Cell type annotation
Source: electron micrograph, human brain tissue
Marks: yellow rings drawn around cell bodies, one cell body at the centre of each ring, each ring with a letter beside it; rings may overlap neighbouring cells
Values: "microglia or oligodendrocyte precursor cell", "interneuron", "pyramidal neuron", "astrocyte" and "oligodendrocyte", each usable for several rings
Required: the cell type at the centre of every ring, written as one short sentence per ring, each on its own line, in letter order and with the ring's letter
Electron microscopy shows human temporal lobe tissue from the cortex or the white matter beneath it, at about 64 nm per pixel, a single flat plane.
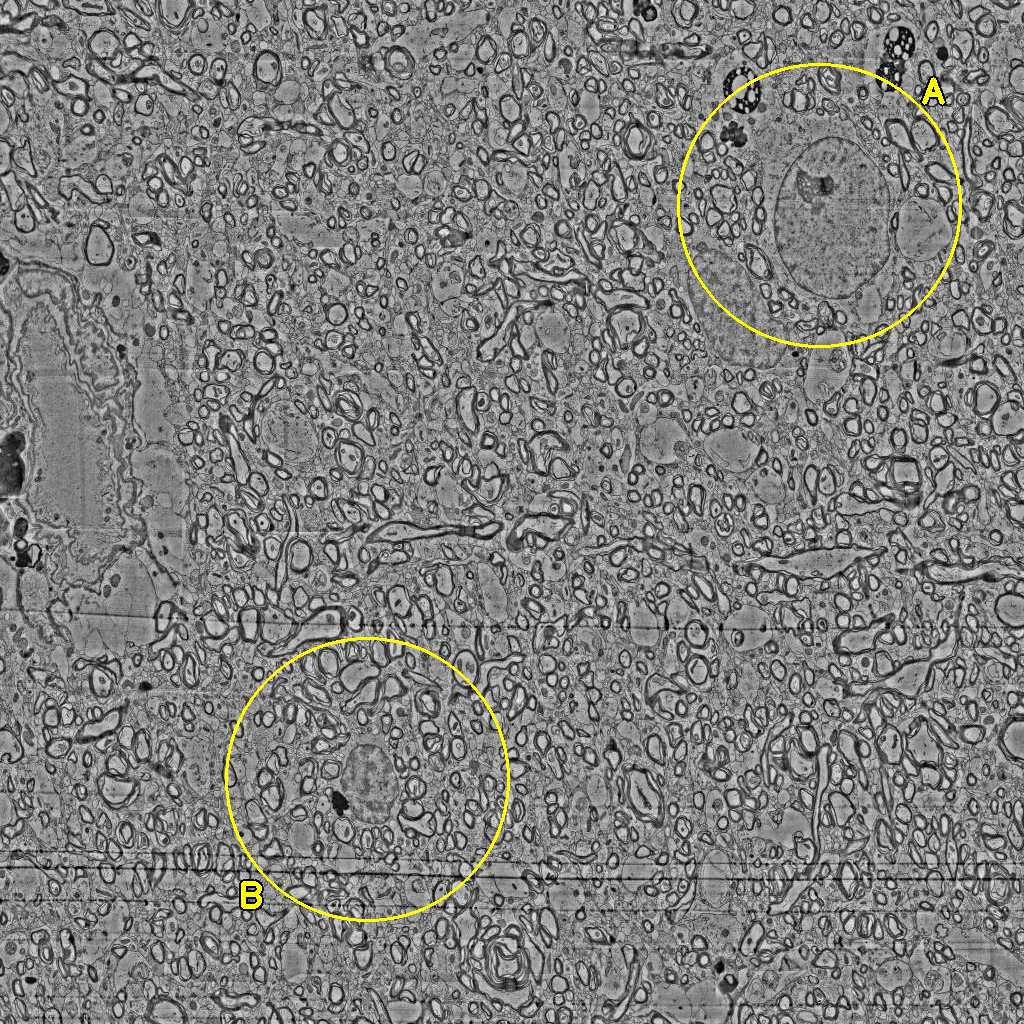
Ring A is annotated as an astrocyte.
Ring B is annotated as an oligodendrocyte.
